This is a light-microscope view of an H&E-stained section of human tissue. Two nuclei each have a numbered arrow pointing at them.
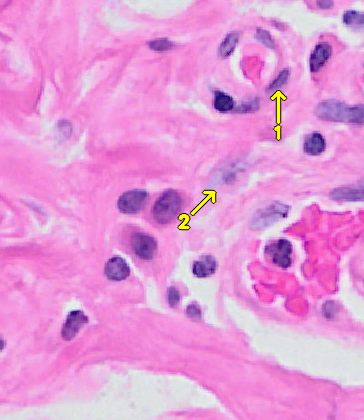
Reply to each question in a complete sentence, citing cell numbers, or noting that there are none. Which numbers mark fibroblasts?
Only cell 2 qualifies as a fibroblast among the numbered cells.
